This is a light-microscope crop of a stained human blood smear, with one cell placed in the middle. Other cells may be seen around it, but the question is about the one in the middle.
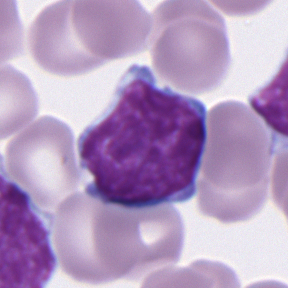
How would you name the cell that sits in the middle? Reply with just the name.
lymphocyte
